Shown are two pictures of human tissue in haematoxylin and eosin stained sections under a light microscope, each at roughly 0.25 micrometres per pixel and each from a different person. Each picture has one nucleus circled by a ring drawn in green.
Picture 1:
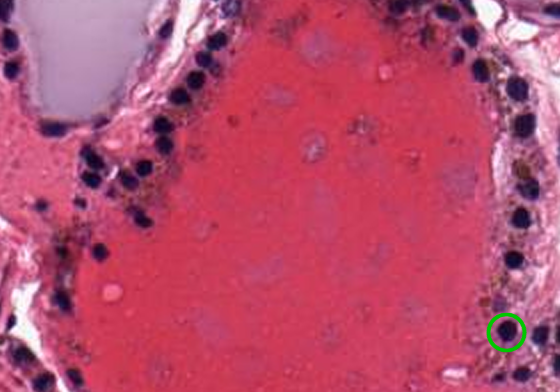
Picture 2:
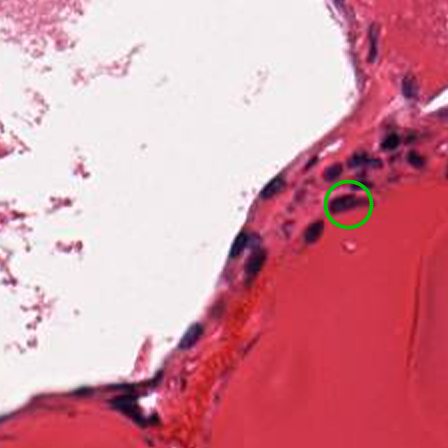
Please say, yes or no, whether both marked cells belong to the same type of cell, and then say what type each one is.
Yes, both are thyroid follicular cells.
